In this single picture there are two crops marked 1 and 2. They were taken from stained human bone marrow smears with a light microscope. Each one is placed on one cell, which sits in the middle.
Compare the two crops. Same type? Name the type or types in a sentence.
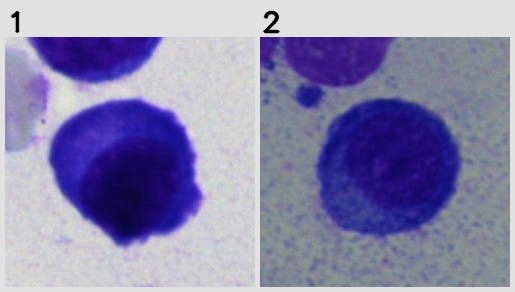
Yes, they do, both crops show plasma cells.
